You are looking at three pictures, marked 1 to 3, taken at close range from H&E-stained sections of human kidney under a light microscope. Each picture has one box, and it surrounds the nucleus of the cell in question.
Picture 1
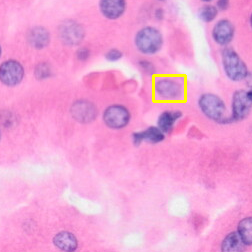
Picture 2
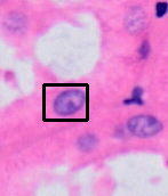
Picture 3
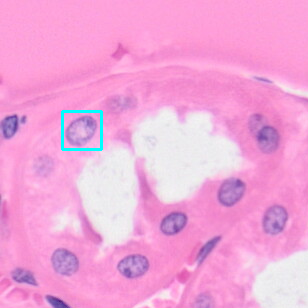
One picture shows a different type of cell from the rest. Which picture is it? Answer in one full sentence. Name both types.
All pictures except 1 show proximal tubule cells; picture 1 shows a collecting duct cell.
